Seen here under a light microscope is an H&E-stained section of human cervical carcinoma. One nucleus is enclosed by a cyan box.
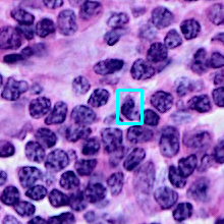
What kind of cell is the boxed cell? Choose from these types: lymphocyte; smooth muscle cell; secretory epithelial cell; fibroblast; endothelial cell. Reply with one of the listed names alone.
lymphocyte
